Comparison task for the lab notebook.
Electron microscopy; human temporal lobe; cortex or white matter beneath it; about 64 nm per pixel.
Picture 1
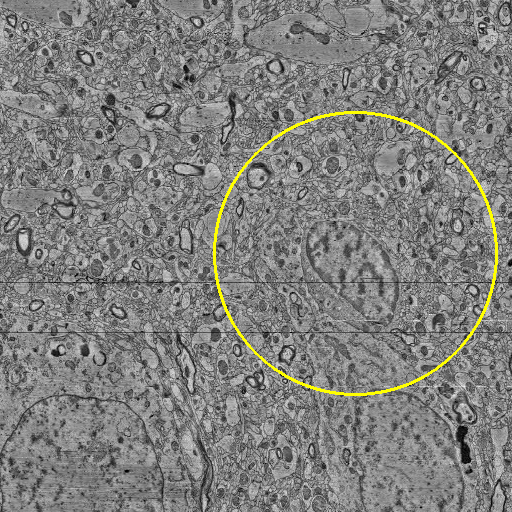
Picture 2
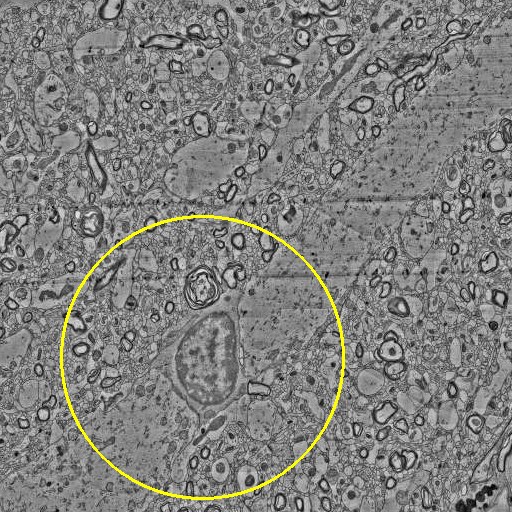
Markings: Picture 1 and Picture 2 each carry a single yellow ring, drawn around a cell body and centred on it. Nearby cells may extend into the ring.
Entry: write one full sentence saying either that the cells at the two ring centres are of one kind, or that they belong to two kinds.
The cells sitting at the ring centres in Picture 1 and Picture 2 are of one kind.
